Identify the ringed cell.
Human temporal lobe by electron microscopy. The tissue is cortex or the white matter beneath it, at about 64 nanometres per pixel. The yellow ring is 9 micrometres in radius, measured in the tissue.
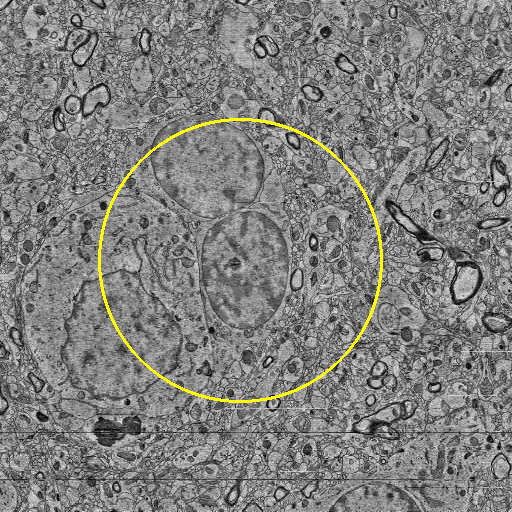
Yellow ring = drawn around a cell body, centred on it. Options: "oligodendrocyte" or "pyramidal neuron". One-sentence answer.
What the ring is centred on is an oligodendrocyte.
